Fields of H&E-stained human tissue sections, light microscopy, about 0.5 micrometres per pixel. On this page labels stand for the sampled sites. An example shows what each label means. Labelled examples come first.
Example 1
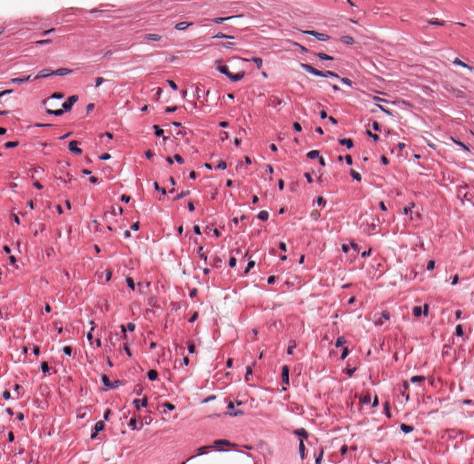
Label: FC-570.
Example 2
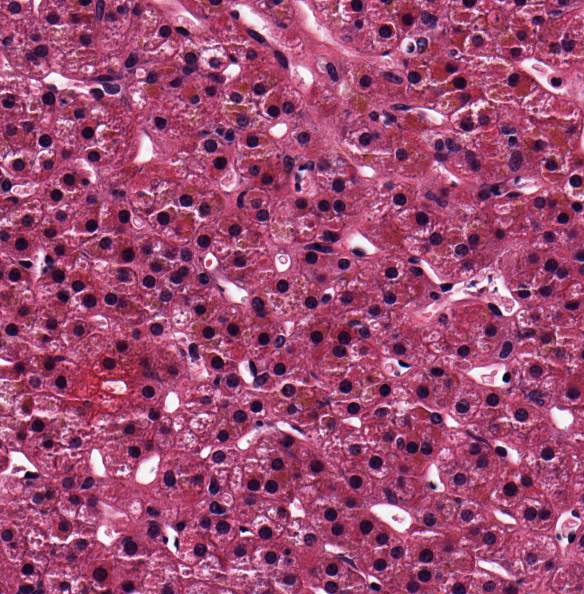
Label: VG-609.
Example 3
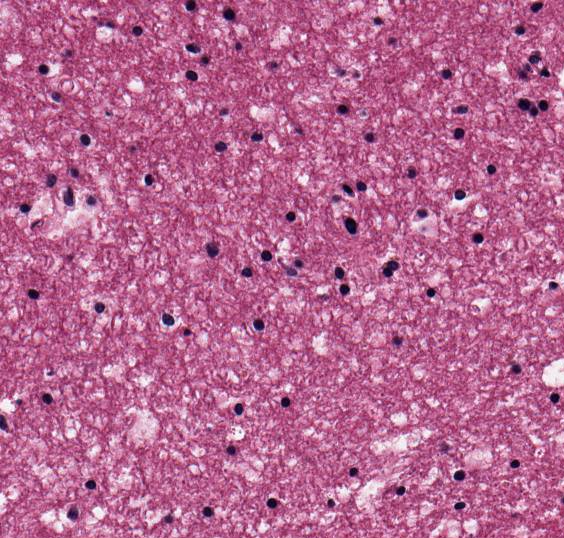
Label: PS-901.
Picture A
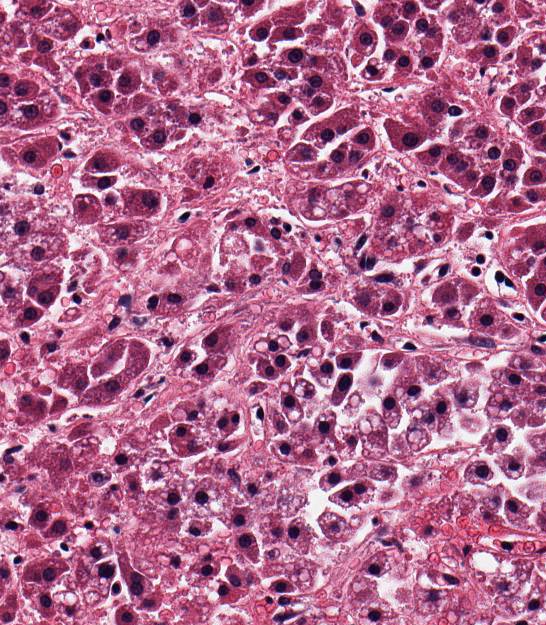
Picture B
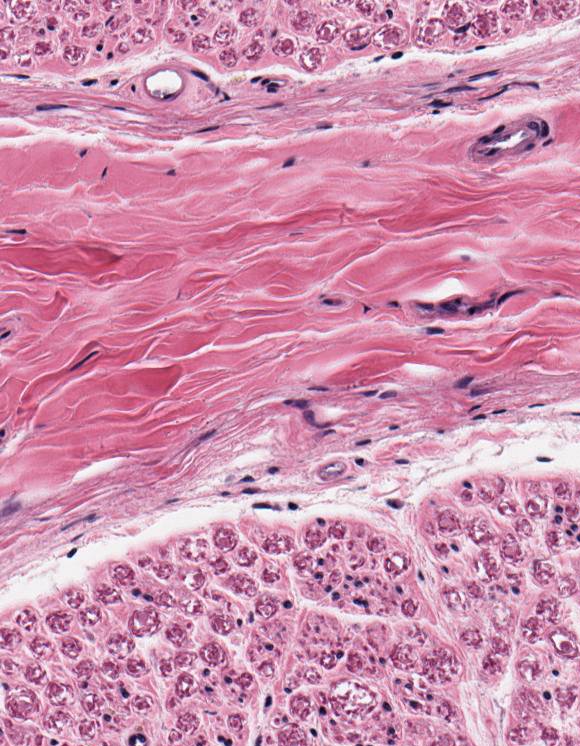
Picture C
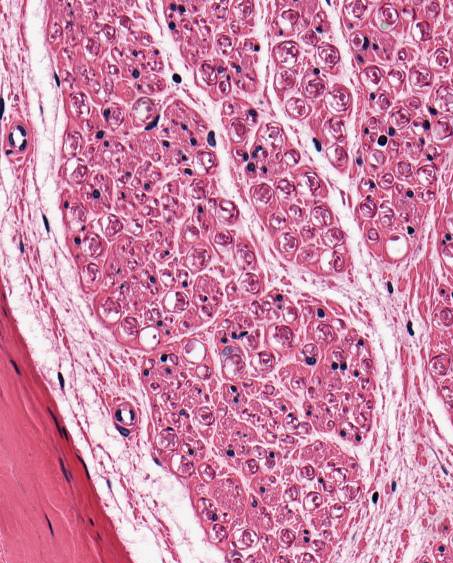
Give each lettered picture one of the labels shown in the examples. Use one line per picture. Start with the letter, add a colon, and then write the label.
A: VG-609.
B: FC-570.
C: FC-570.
